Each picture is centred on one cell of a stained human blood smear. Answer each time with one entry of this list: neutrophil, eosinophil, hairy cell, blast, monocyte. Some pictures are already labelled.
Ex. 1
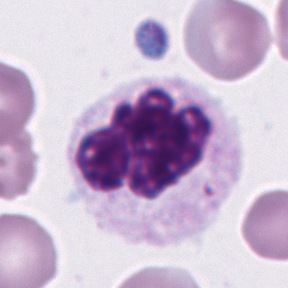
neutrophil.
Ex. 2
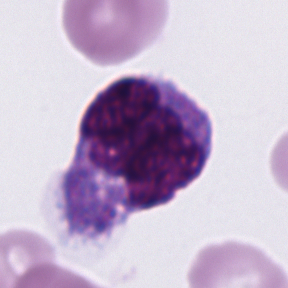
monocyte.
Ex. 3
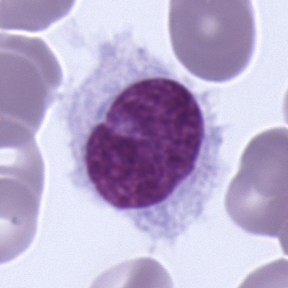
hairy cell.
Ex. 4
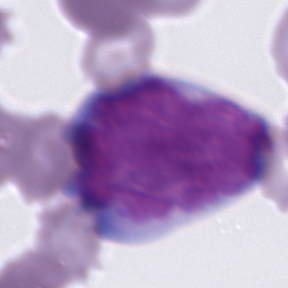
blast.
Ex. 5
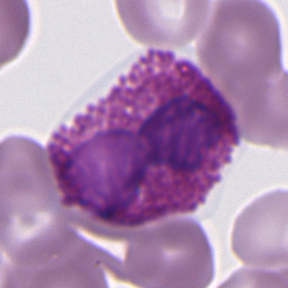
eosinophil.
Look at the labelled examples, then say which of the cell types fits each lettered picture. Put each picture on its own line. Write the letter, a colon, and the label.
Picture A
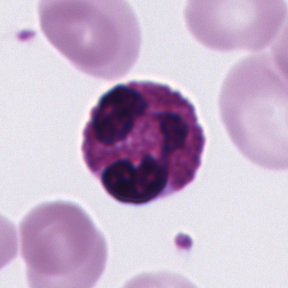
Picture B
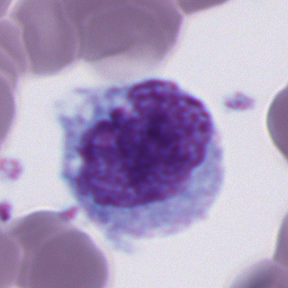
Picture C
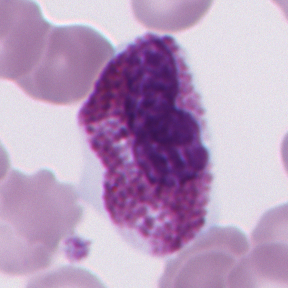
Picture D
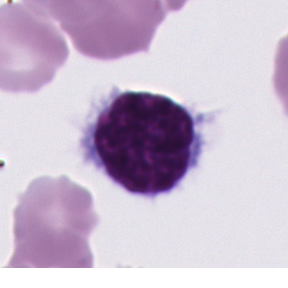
A: eosinophil.
B: monocyte.
C: eosinophil.
D: hairy cell.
